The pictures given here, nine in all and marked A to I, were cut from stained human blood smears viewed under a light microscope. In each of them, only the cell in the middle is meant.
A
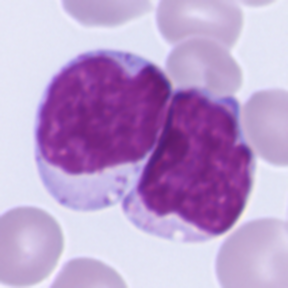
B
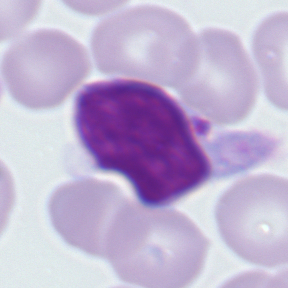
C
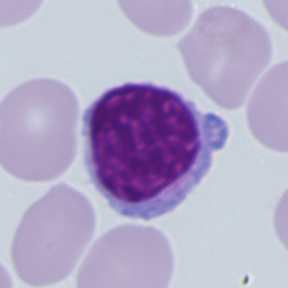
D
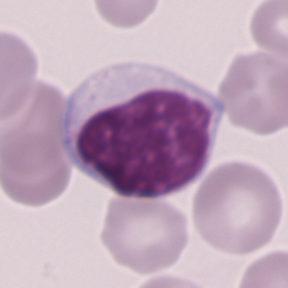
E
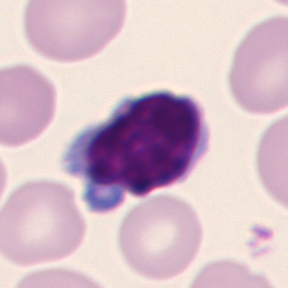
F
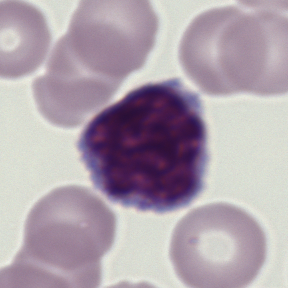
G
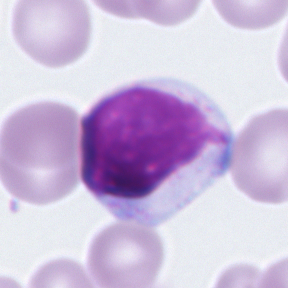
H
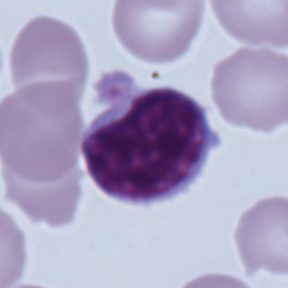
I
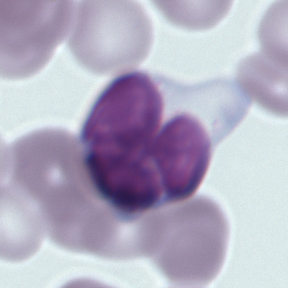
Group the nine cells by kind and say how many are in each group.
typical lymphocyte: 5
large granular lymphocyte: 4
